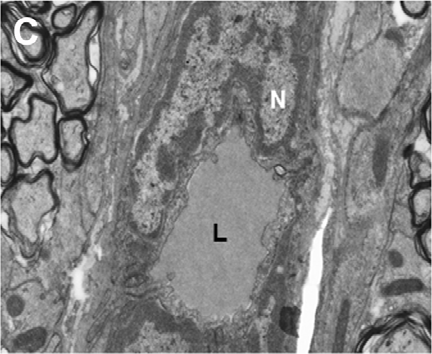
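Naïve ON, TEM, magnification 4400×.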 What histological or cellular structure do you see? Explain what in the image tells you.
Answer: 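Surrounded by myelinated axon profiles.
Capillary.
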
